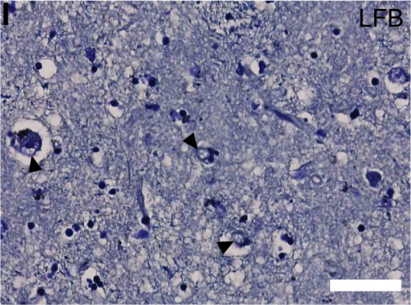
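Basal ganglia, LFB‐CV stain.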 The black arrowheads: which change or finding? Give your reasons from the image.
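Vacuoles. The marked cells contain clear, unstained spaces within their cytoplasm. The clear spaces hold no blue-stained material.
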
